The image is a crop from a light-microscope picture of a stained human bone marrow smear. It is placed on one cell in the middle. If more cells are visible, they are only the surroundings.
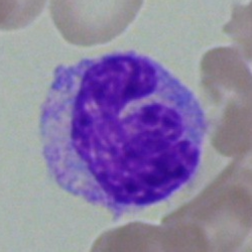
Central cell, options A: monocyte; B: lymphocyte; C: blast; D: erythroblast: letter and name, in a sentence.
The middle of the crop contains a monocyte, so option A is right.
